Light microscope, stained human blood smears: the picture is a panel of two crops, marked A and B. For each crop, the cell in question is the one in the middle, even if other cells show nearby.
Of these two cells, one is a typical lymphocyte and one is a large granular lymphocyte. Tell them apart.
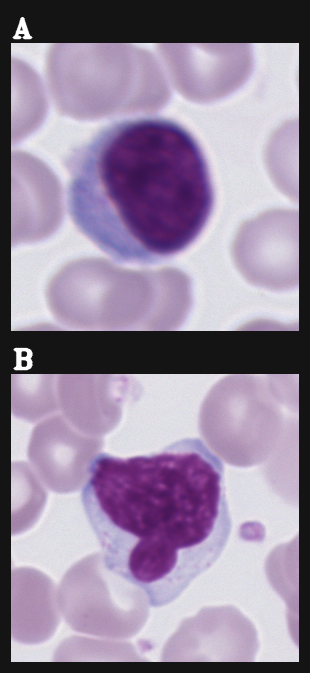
A: typical lymphocyte
B: large granular lymphocyte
